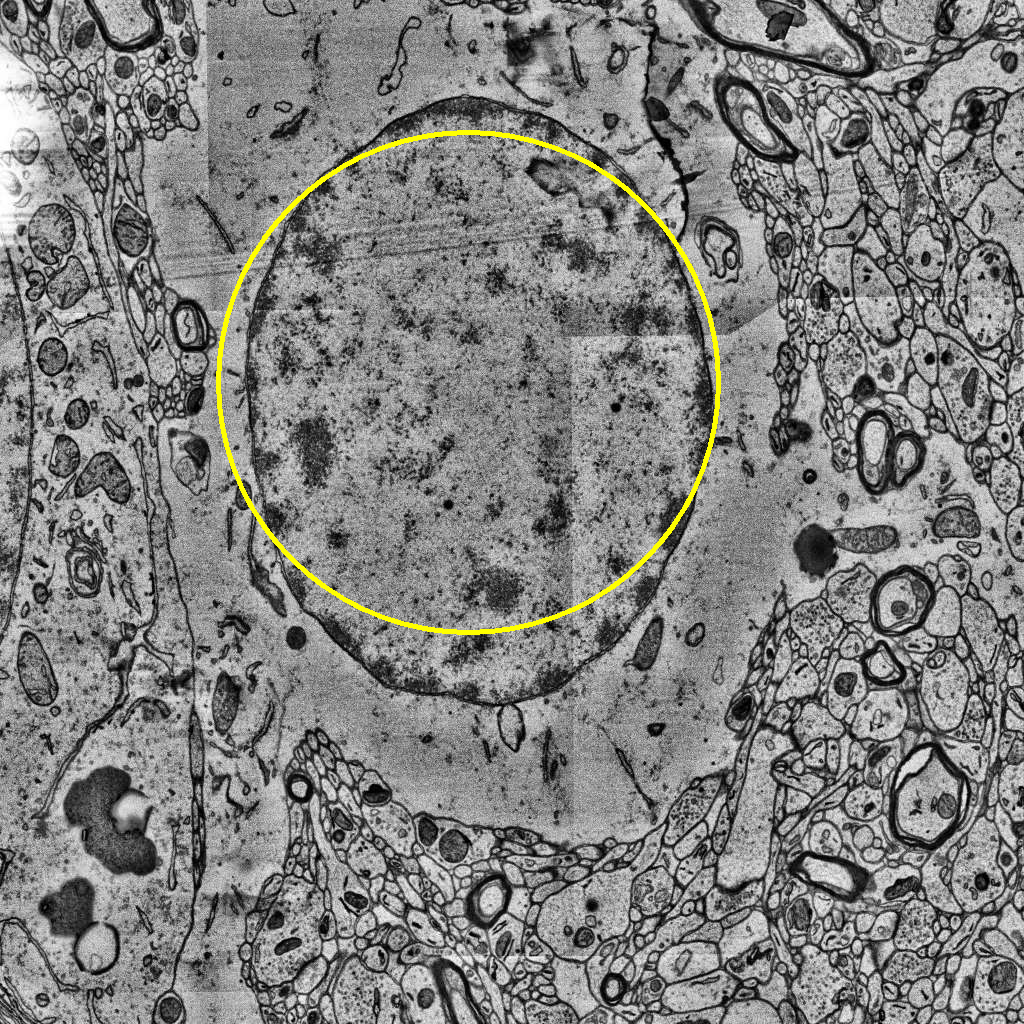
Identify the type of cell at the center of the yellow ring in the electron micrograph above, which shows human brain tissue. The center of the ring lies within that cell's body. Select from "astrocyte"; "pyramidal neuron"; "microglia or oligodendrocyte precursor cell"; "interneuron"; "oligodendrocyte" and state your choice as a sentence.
The center of the yellow ring lies in the body of an astrocyte.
